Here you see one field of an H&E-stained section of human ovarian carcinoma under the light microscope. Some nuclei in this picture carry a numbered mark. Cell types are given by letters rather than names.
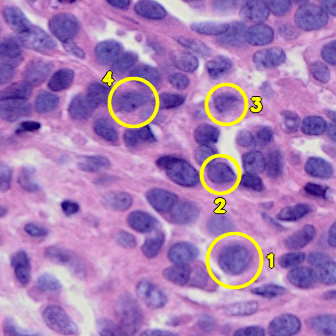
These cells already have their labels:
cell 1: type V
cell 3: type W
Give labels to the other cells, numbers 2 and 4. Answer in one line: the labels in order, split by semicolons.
type V; type V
